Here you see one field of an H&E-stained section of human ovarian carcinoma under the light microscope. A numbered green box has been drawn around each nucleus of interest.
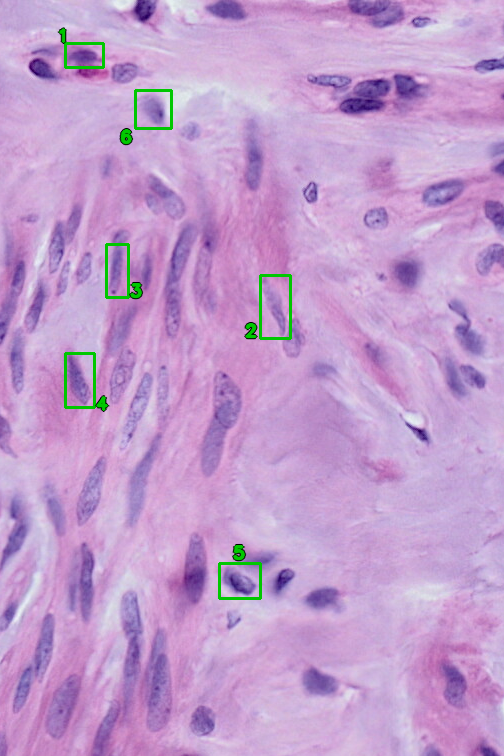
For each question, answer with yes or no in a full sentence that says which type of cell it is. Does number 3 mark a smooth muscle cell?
Yes, what number 3 marks is a smooth muscle cell.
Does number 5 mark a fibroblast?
Yes, cell number 5 is identified here as a fibroblast.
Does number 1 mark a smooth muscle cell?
No, the cell under number 1 is an endothelial cell instead of a smooth muscle cell.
